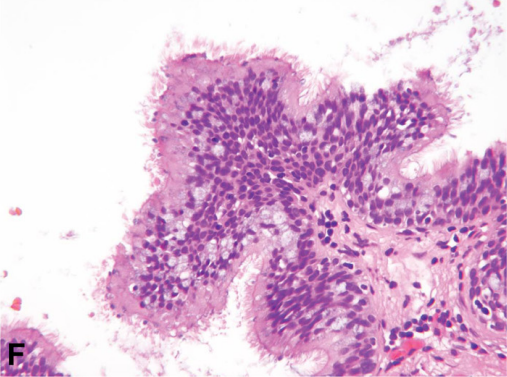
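A thick, folded lining of pseudostratified epithelium covers thin cores of pink fibrous stroma. The nuclei are oval to elongated, dark purple and crowded, lying at different heights so the layer looks stratified although the cells rest on one base. Along the luminal surface runs a pale pink band with a fine fringe, in keeping with cilia. Scattered among the nuclei are pale, clear, rounded cells with empty-looking cytoplasm, the goblet cells. Small capillaries with red blood cells lie in the stroma beneath the epithelium. The appearance resembles respiratory lining.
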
